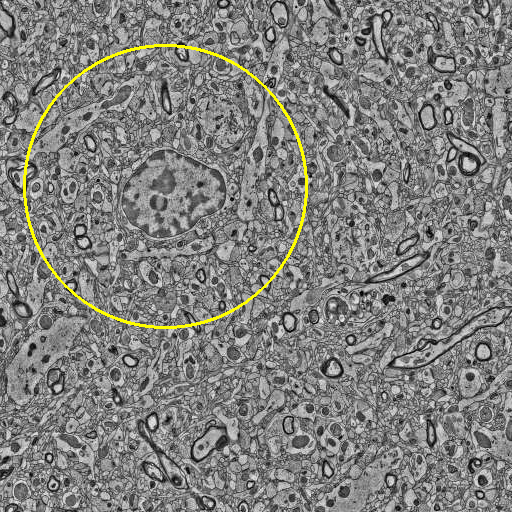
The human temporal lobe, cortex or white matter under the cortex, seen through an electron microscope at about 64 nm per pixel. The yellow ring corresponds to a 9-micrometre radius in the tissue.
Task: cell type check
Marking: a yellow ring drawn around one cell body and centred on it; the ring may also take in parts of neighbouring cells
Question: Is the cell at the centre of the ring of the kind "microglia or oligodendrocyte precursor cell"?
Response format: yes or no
yes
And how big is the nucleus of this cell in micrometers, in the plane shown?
In this plane, about 7 micrometres in length and 5 in width.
